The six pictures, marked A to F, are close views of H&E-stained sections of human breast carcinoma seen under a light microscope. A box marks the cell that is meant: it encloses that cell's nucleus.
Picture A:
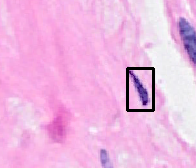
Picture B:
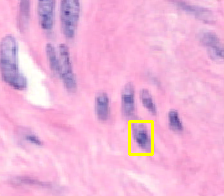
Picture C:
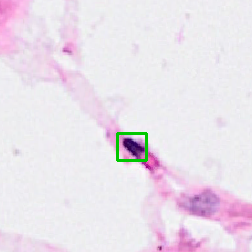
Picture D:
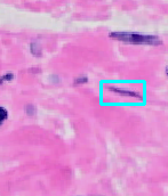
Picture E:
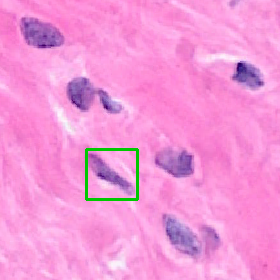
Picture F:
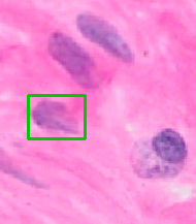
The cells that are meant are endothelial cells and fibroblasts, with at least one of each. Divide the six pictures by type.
A: fibroblast
B: endothelial cell
C: endothelial cell
D: fibroblast
E: fibroblast
F: fibroblast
